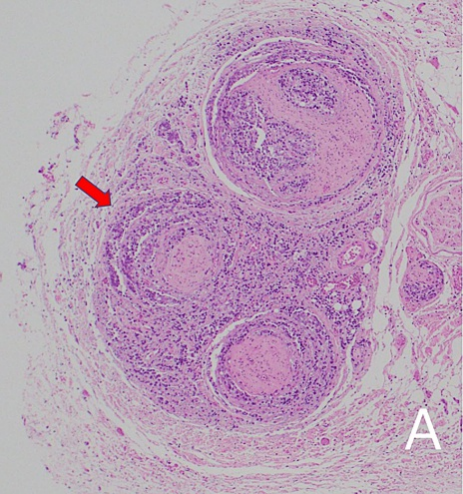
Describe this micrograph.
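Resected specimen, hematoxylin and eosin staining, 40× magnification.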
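This low-power section shows several round nerve bundles lying close together, each with a pale pink centre wrapped in thin concentric fibrous layers. Crowds of cells with dark purple nuclei fill the space around and between these bundles and press into their layered sheaths. The infiltrating cells are densely packed, giving the area a much bluer look than the pink cores. Looser pale pink connective tissue surrounds the whole cluster at the edges of the field.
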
